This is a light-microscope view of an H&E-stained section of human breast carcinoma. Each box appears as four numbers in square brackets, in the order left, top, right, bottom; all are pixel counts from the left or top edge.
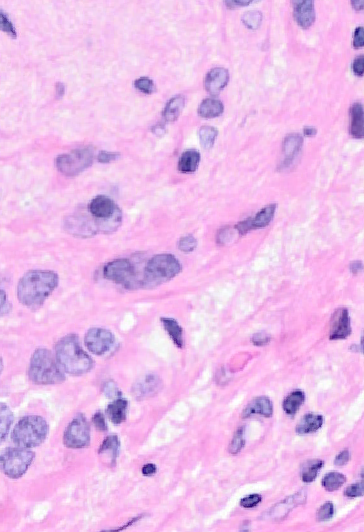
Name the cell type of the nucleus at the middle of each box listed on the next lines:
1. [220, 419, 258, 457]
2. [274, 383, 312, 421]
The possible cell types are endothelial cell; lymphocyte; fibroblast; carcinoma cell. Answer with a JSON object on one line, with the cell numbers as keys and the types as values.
{"1": "endothelial cell", "2": "lymphocyte"}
